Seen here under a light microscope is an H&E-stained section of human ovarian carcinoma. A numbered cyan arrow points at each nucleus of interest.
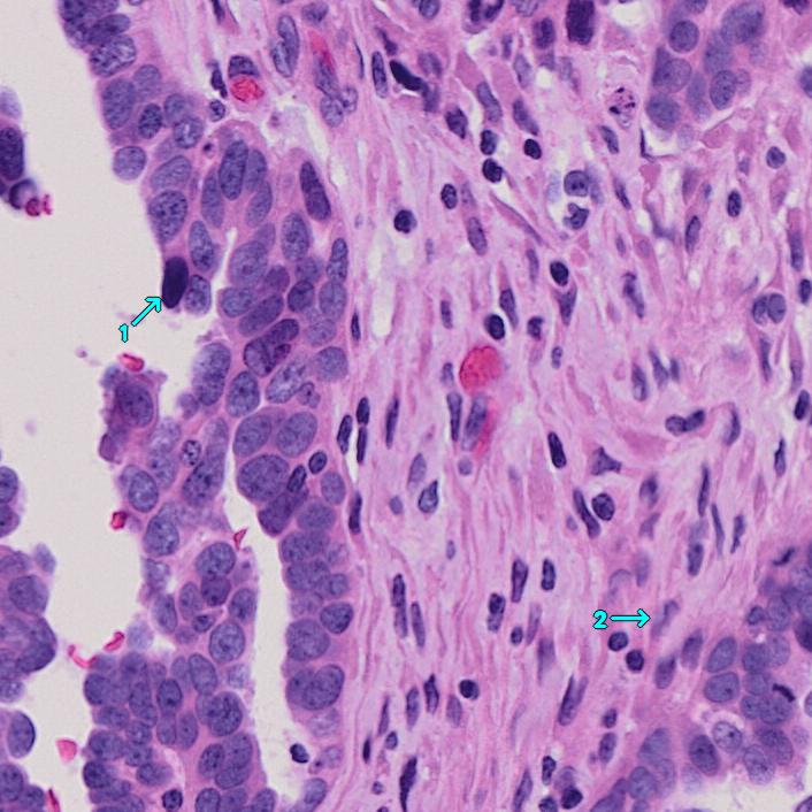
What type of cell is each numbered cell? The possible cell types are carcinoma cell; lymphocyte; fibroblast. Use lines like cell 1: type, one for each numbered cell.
cell 1: carcinoma cell
cell 2: fibroblast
